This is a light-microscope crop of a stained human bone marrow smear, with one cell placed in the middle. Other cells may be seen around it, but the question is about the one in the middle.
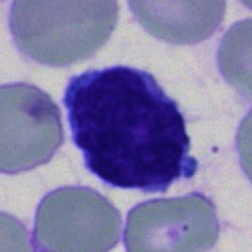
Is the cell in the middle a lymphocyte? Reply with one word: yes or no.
yes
